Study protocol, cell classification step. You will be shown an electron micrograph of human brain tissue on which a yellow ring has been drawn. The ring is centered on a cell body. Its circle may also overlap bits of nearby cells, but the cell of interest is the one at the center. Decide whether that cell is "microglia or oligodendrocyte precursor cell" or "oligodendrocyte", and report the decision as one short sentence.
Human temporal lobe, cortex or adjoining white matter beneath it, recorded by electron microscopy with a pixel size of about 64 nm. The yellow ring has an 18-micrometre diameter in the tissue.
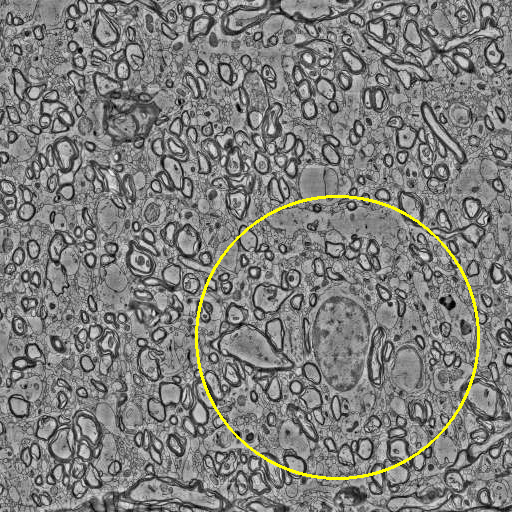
The marked cell is a microglial cell or oligodendrocyte precursor cell.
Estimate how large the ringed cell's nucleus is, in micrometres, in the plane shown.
In this plane the nucleus measures roughly 6 by 4 micrometers.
